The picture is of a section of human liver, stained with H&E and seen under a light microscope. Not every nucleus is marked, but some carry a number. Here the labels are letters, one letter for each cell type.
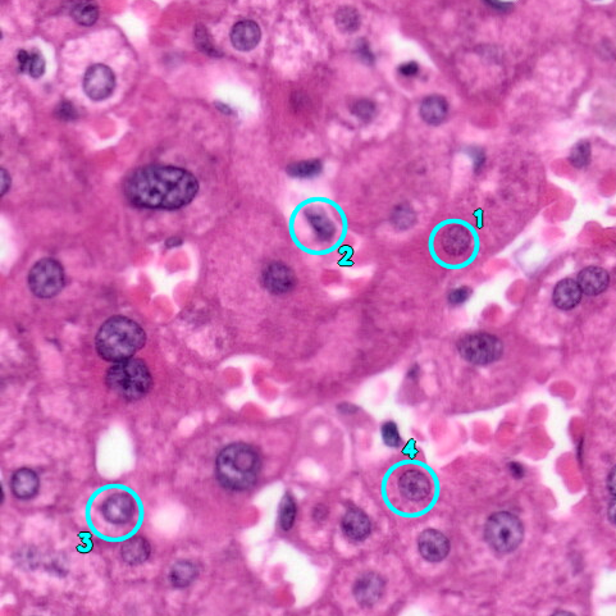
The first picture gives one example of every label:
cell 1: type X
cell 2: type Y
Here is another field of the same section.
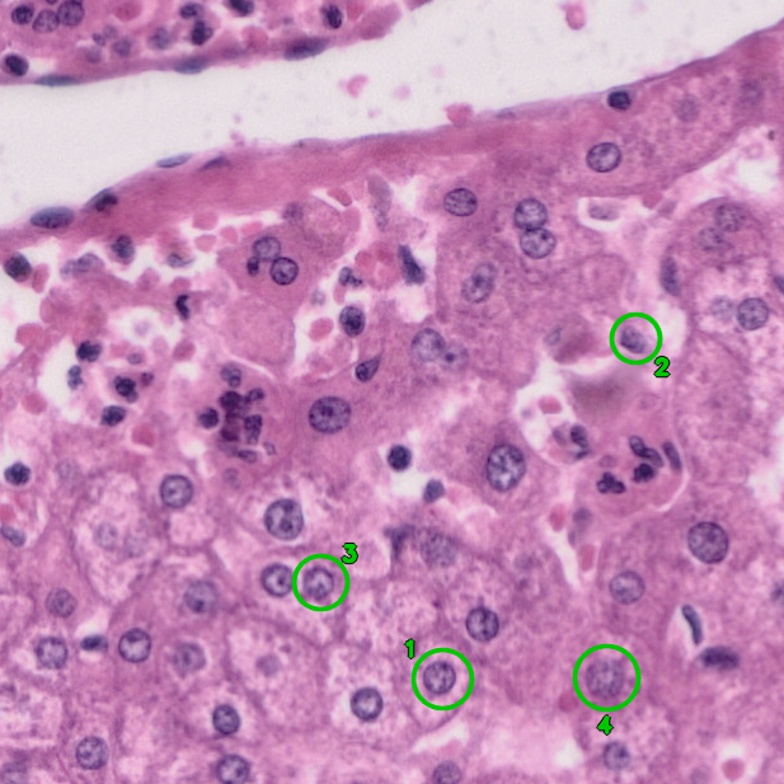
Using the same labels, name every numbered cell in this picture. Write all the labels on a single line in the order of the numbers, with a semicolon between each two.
type X; type Y; type X; type X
